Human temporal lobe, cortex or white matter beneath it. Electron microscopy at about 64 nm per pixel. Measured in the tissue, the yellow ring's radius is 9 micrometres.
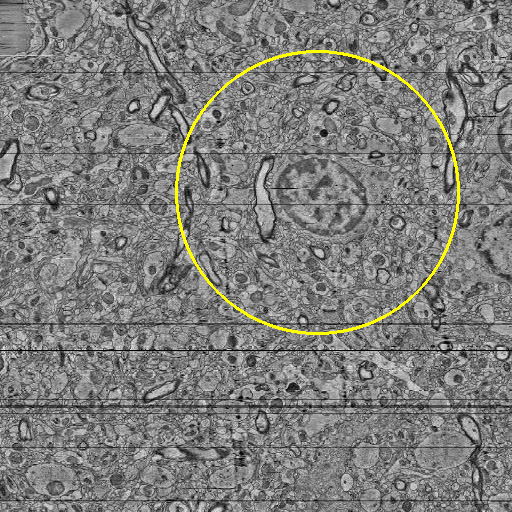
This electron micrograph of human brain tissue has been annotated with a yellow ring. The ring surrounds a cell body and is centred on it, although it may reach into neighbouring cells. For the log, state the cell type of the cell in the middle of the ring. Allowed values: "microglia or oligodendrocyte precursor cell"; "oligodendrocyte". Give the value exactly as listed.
oligodendrocyte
